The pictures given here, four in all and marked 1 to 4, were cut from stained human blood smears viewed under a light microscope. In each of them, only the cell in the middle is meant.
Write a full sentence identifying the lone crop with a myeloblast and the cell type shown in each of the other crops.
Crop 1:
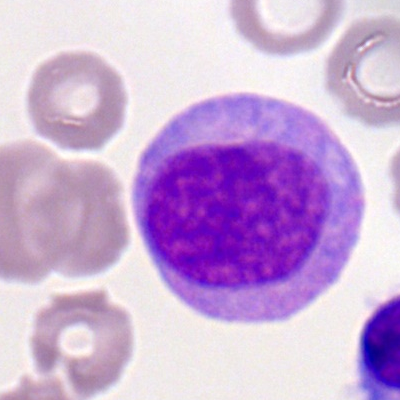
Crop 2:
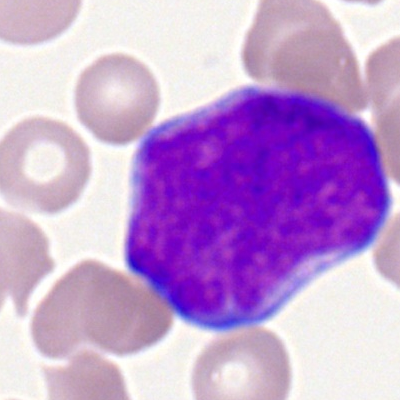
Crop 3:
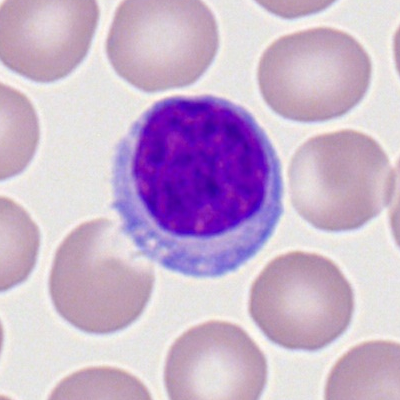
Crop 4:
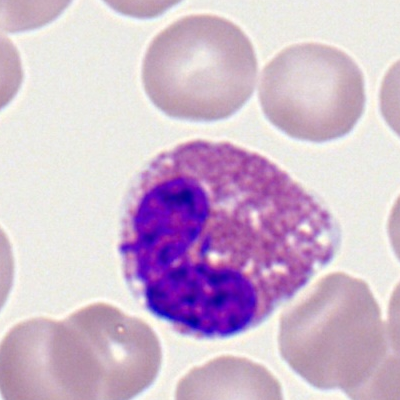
Seen in crop 2 is a myeloblast, while crop 1 is a monocyte, crop 3 is a lymphocyte and crop 4 is an eosinophil.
